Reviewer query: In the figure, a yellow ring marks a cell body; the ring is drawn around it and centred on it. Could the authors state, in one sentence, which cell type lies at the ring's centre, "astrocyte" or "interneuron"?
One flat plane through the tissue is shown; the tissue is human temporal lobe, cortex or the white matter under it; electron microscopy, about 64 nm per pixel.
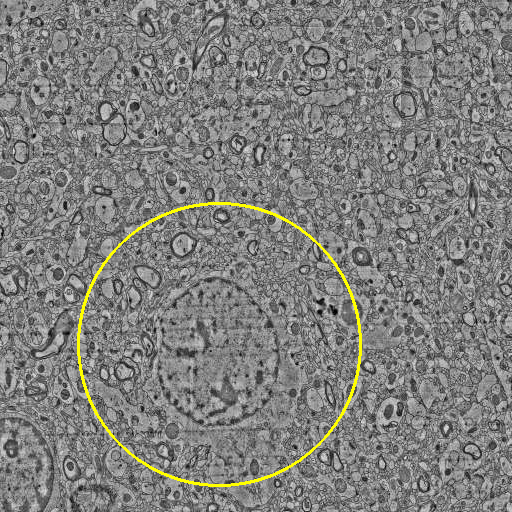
The ring is centred on an astrocyte.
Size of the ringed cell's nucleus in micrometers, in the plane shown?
The nucleus is approximately 9 micrometers long by 8 micrometers wide in this plane.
